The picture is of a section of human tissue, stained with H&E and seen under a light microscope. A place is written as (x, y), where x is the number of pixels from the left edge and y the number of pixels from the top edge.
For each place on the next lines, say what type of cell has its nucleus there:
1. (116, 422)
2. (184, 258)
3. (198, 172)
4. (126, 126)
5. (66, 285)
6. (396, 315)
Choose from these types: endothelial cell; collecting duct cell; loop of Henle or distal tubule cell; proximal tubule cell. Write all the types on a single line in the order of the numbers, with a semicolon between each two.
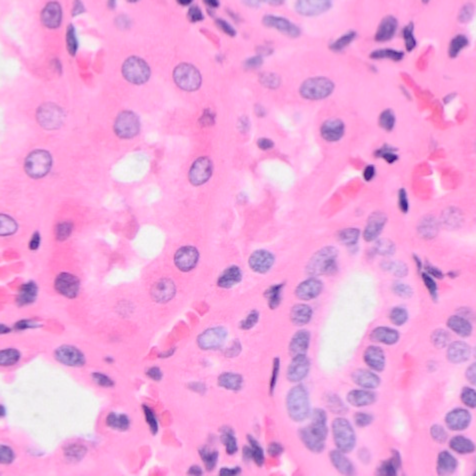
loop of Henle or distal tubule cell; proximal tubule cell; proximal tubule cell; proximal tubule cell; proximal tubule cell; collecting duct cell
